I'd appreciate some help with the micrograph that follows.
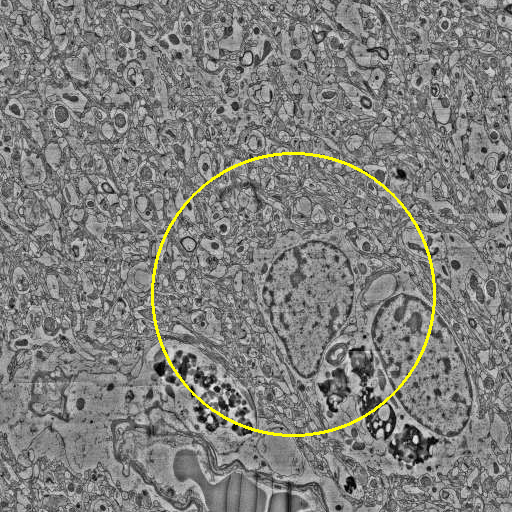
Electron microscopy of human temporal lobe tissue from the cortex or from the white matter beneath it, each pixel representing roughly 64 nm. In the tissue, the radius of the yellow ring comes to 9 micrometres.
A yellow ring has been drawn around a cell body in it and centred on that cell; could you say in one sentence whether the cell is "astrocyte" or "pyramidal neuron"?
It is an astrocyte at the centre of the ring.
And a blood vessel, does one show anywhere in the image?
Yes, there is a blood vessel.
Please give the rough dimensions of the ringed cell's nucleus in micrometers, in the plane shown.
In this plane, about 9 by 6 micrometres: the nucleus is clearly longer than it is wide.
